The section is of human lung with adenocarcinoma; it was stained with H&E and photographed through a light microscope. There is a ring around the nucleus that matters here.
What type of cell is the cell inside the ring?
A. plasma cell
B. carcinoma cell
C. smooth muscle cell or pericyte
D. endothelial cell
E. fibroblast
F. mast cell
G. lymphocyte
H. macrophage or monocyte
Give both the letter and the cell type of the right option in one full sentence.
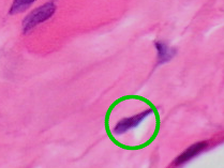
Option E is right, and the cell inside the ring is a fibroblast.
